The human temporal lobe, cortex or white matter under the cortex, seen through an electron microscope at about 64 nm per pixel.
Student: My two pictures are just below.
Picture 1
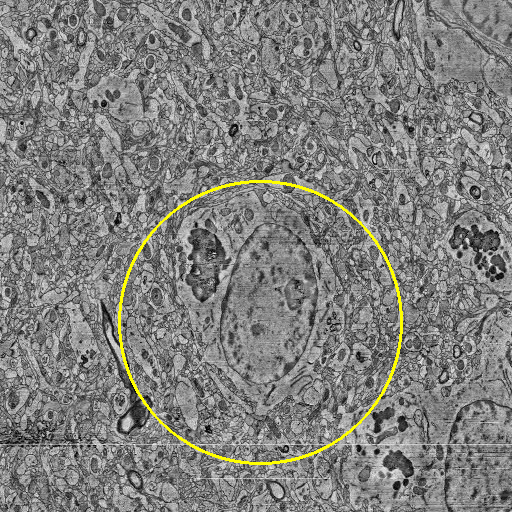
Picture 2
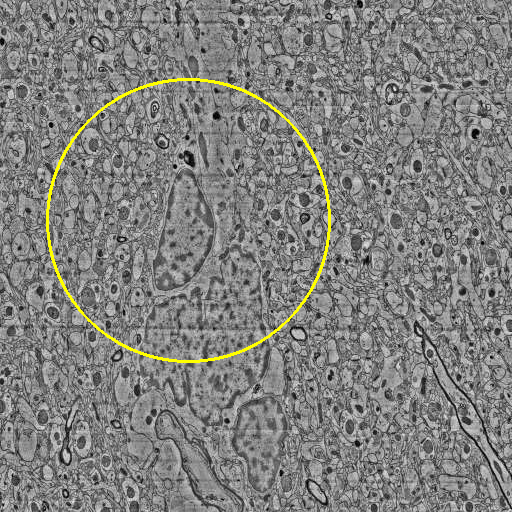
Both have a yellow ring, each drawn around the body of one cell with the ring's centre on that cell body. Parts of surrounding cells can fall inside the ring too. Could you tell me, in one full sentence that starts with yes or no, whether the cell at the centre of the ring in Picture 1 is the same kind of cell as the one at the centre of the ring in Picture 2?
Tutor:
No, the two cells are of two kinds.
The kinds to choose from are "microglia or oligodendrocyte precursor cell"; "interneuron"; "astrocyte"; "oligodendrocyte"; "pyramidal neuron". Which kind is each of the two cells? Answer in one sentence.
Of the two, the first cell is an astrocyte and the second cell is a microglial cell or oligodendrocyte precursor cell.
